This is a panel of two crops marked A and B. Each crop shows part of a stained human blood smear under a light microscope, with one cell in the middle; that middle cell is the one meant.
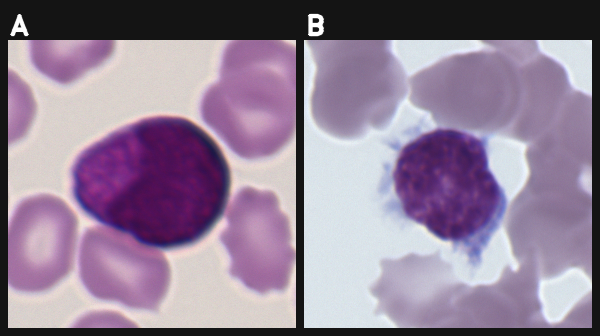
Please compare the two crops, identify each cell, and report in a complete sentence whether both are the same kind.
No, record crop A as a myeloblast and crop B as a hairy cell.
